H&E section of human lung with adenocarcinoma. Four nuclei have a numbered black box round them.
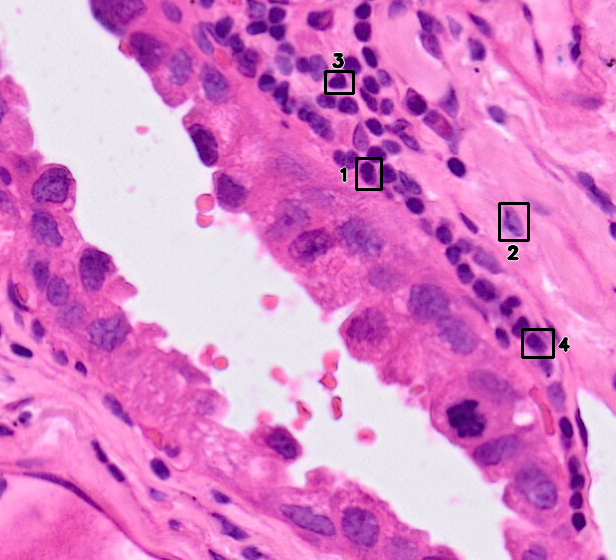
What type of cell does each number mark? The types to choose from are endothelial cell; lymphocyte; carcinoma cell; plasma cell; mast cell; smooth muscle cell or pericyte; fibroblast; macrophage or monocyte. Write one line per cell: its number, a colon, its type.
1: lymphocyte
2: fibroblast
3: lymphocyte
4: lymphocyte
